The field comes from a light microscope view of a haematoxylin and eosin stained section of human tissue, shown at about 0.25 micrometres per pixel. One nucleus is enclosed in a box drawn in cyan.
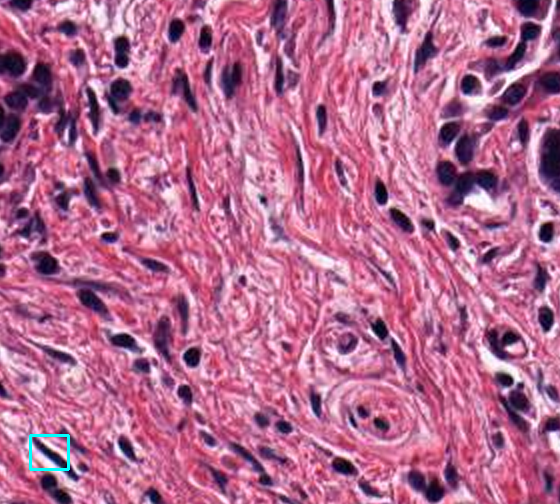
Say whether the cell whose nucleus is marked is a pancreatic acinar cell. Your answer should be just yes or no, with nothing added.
no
